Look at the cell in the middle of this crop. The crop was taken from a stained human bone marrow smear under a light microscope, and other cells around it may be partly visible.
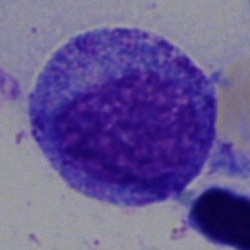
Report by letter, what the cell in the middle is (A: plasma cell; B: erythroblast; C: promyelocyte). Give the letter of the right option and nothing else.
C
